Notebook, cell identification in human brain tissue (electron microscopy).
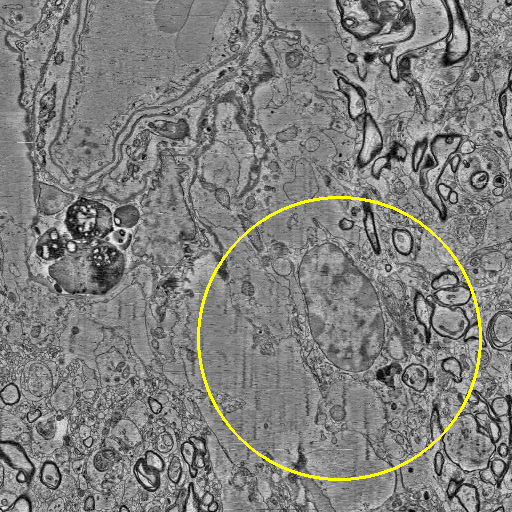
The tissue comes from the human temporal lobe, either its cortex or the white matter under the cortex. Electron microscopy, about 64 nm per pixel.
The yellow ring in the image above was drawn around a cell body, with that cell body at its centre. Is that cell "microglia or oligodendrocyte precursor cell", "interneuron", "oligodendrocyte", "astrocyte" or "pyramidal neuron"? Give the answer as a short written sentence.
The cell in the ring is a microglial cell or oligodendrocyte precursor cell.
